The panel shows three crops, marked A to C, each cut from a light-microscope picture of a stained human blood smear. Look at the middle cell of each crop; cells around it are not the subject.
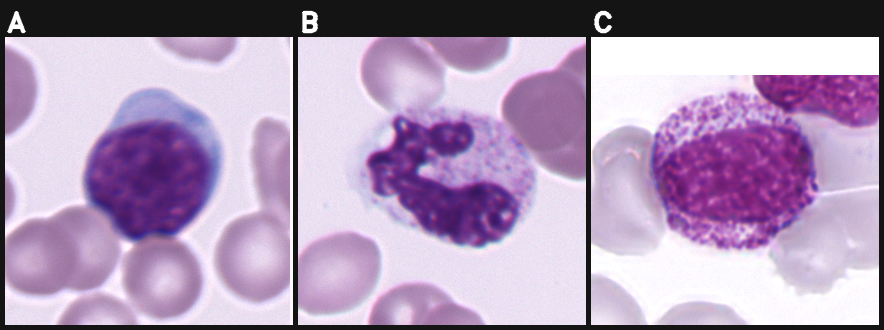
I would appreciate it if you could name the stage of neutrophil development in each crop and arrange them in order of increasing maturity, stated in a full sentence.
Least to most mature, the crops are crop A (a myeloblast), crop C (a myelocyte) and crop B (a segmented neutrophil).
